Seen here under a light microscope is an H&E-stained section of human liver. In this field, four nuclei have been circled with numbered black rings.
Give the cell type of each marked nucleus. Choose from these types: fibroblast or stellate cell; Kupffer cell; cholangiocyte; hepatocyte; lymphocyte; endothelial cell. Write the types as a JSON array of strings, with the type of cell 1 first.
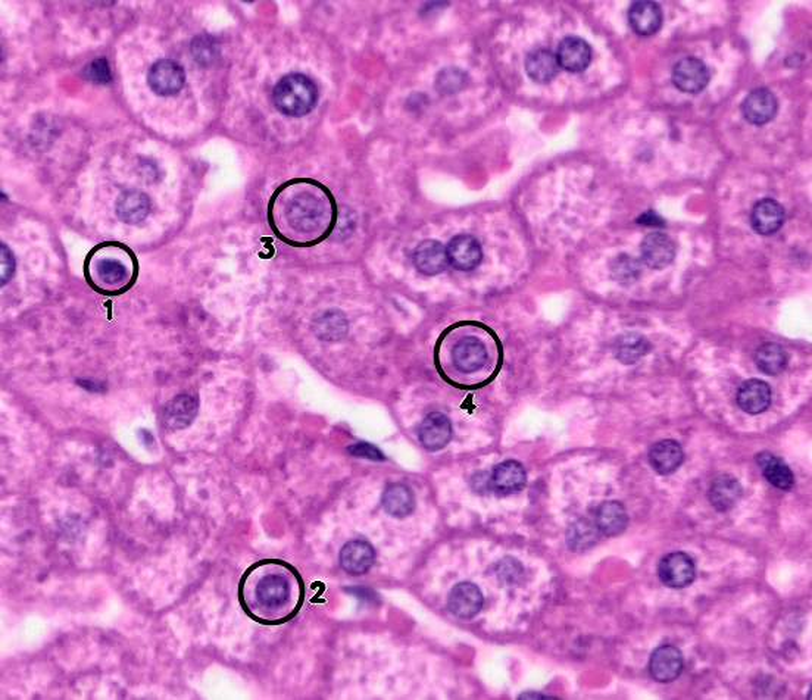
["lymphocyte", "hepatocyte", "hepatocyte", "hepatocyte"]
